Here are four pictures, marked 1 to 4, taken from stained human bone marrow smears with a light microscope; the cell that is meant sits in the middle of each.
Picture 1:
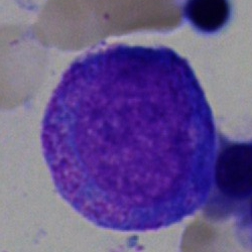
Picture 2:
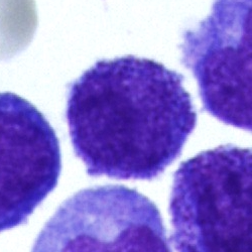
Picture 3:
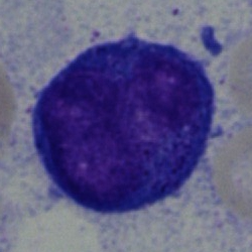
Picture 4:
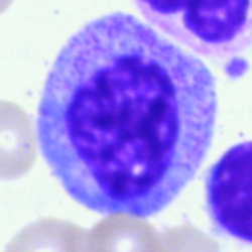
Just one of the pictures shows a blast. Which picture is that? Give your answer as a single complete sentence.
The cell in picture 2 is the blast.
